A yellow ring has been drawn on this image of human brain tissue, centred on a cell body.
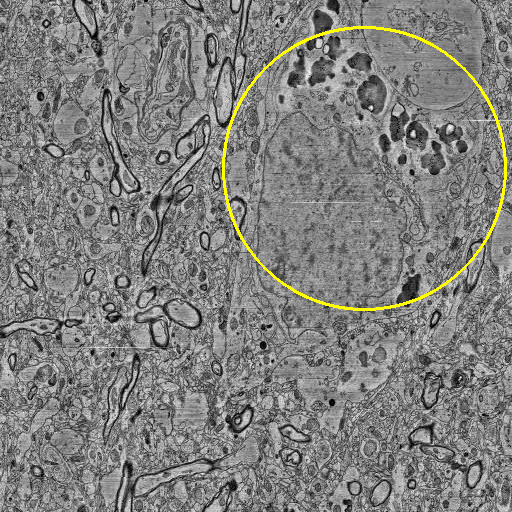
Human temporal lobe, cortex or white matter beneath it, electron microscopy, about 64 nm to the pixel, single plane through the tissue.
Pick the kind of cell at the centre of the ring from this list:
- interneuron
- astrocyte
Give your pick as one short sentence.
The centre of the ring holds an interneuron.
